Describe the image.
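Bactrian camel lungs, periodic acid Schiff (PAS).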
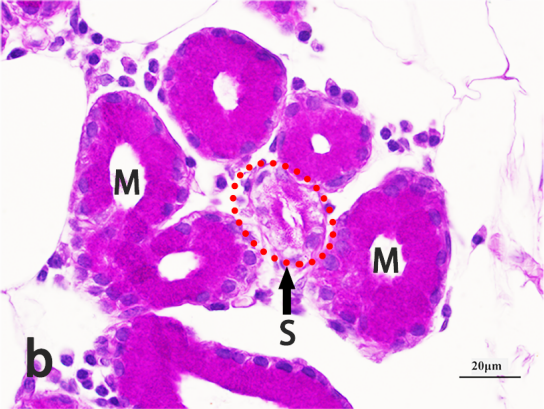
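Cross-sections of bronchial submucosal gland tubules are seen, most of them mucous glands and one serous gland. The mucous tubules are lined by cells with intensely magenta cytoplasm and small dark nuclei pressed toward the base, around a narrow central lumen. The serous unit in the middle stains only pale pink, contrasting with its deeply stained neighbours. Loose connective tissue with scattered small cells surrounds the tubules.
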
